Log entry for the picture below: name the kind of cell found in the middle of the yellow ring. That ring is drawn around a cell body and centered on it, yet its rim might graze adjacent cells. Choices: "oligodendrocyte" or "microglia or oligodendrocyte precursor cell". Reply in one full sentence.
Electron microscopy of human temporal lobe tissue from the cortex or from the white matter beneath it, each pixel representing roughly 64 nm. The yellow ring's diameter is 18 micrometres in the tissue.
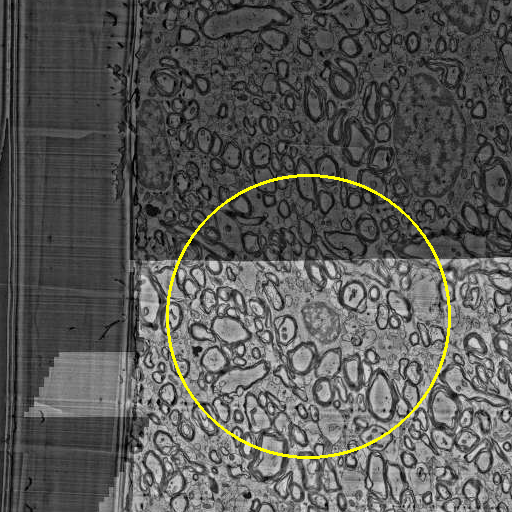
The cell in the middle of the yellow ring in this picture is an oligodendrocyte.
